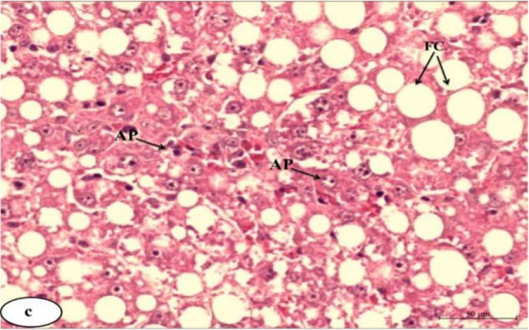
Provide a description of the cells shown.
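This is liver in which most hepatocytes are distended by round, clear, empty-looking vacuoles of fat, ranging from small droplets to large ones wider than the nucleus, giving a bubbly appearance across the field. Between the vacuoles remain pink cytoplasm and round hepatocyte nuclei, some pushed aside. Scattered through the middle are small cells with shrunken, dense dark nuclei and deeply stained cytoplasm, consistent with dying cells, and there are patches of red blood cells between the plates. The normal orderly cords are largely obscured by the fat.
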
